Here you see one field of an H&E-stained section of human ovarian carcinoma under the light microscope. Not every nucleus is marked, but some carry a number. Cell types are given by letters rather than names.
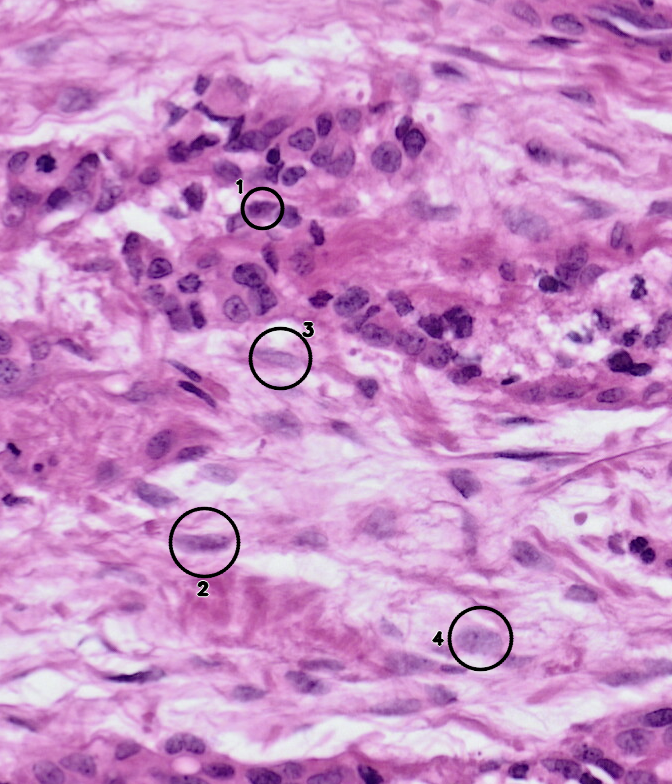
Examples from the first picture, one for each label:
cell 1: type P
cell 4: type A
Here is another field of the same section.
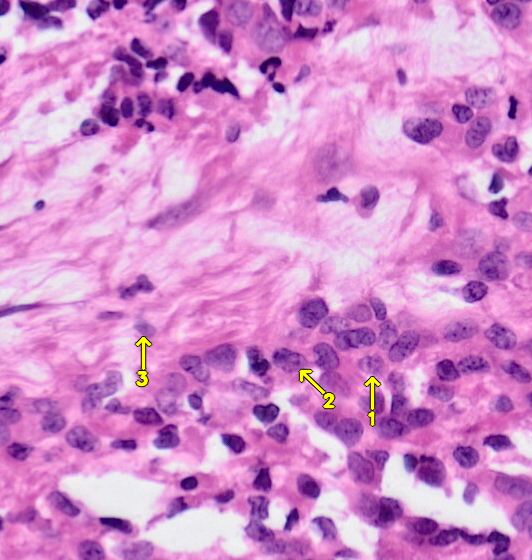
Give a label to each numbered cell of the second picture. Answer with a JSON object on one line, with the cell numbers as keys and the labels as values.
{"1": "type P", "2": "type P", "3": "type A"}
